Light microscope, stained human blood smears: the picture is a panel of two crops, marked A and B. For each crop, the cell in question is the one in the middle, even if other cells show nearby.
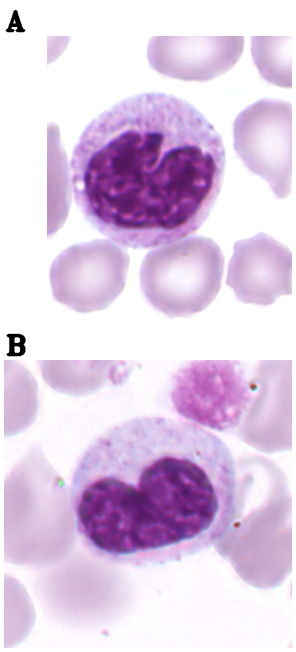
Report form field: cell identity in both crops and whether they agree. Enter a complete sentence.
Yes, both crops show band neutrophils at their middles.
